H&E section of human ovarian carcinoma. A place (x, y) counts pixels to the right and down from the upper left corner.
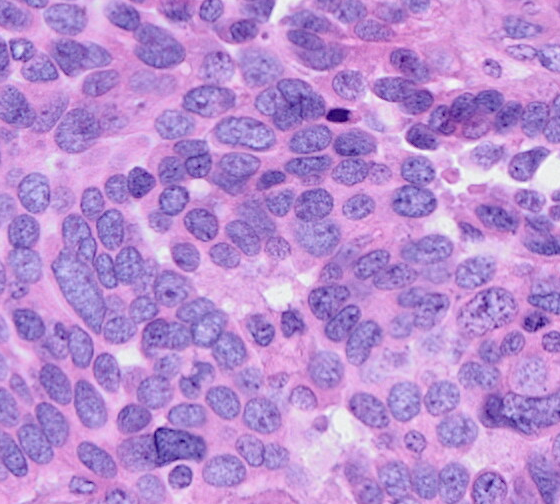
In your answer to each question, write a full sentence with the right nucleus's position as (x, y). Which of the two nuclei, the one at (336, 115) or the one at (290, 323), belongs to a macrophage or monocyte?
Of these two nuclei, it is the one at (290, 323) that belongs to a macrophage or monocyte.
